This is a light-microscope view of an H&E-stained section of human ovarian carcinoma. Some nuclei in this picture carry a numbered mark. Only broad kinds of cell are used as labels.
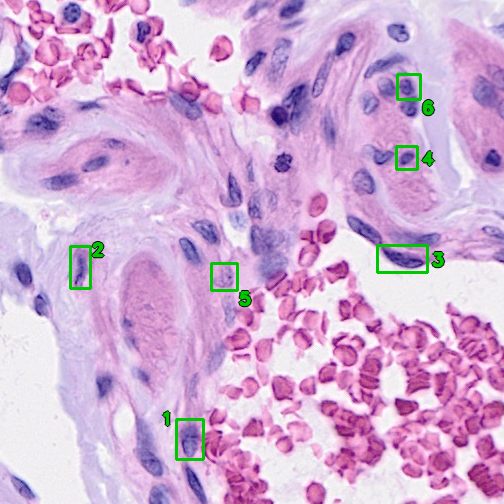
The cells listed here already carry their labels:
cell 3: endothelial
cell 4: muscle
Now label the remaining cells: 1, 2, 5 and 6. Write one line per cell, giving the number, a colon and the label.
1: endothelial
2: endothelial
5: endothelial
6: muscle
